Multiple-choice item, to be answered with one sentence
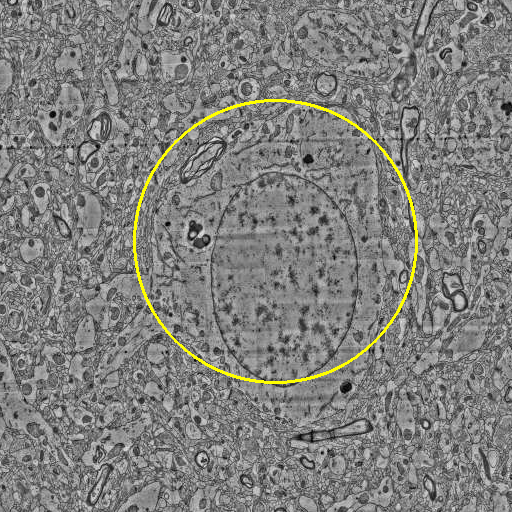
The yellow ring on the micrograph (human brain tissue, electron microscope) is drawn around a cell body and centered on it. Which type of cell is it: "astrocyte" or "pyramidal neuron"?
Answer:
The ring is centered on a pyramidal neuron.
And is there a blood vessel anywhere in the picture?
No, no vessel shows anywhere in the image.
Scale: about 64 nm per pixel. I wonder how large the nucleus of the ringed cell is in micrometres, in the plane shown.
Approximately 13 micrometres long and 9 micrometres wide, in this plane.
